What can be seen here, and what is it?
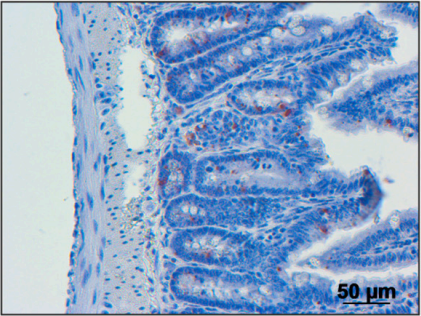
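A section of small intestine wall shows a thin muscular layer at the left, a row of tubular crypts lined by columnar epithelial cells with blue nuclei, and villi with pale goblet cells extending to the right. Scattered small red-brown dots sit within the crypt epithelium near the base of the mucosa.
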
